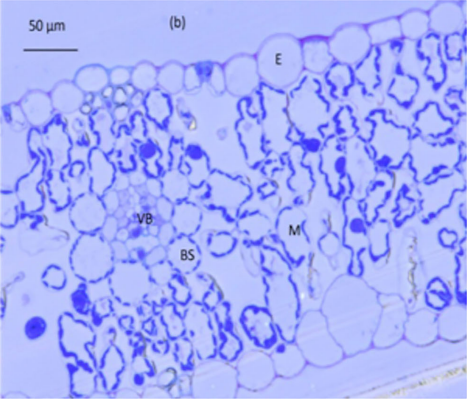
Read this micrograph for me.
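This transverse leaf section shows epidermis, mesophyll cells and a vascular bundle with its bundle-sheath. A single row of rounded, pale epidermal cells borders the upper surface, and a layer of pale rounded cells lines the lower surface. The mesophyll between them consists of irregular, elongated cells with wavy walls, each lined by a thin dark blue layer of cytoplasm around a clear centre, leaving spaces between cells. On the left a vascular bundle of small packed cells is surrounded by a ring of larger rounded bundle-sheath cells. Scattered dark blue round bodies lie within several cells.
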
